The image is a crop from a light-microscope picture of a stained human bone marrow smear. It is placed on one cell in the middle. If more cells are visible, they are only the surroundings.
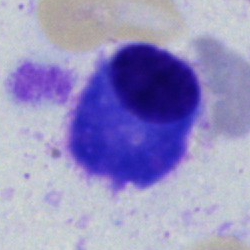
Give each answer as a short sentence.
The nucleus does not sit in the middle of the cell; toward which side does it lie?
Seen from the middle of the cell, the nucleus lies toward the upper right.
